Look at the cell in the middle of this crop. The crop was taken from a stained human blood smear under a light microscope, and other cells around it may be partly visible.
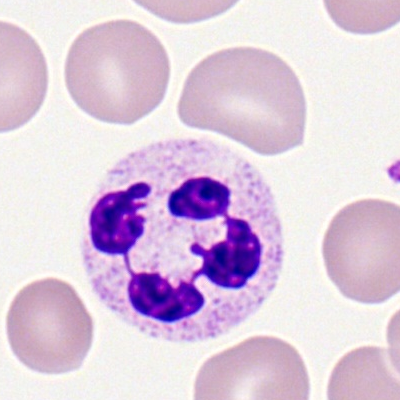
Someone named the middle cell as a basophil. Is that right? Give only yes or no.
no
